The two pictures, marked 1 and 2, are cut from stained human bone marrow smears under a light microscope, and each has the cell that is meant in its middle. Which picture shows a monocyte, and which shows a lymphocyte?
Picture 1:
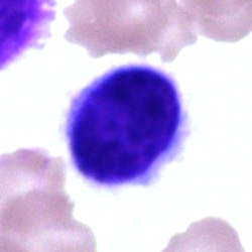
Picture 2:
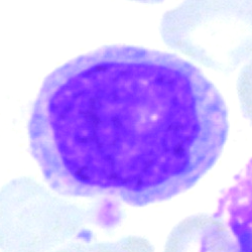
1: lymphocyte
2: monocyte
